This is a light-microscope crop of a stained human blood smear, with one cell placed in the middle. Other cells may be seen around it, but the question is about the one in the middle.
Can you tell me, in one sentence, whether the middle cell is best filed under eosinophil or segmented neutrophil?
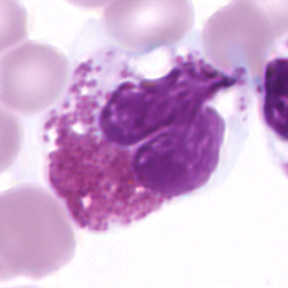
In the crop, the cell of interest at the centre is an eosinophil.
